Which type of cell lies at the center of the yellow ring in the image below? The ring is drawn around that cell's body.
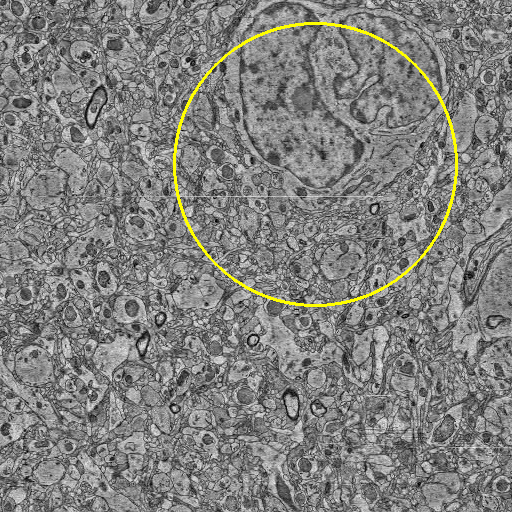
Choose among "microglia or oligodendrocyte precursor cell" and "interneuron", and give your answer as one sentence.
The cell body at the center belongs to a microglial cell or oligodendrocyte precursor cell.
